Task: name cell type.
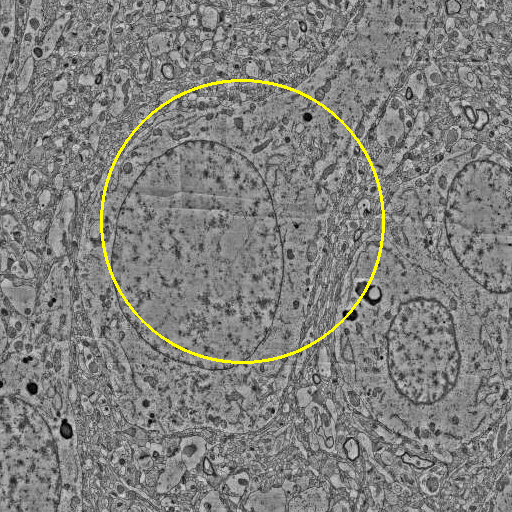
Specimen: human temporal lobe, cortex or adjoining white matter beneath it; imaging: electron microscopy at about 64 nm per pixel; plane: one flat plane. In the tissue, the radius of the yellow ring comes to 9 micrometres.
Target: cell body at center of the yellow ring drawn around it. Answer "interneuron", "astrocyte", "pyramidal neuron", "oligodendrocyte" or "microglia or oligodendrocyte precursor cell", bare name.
pyramidal neuron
